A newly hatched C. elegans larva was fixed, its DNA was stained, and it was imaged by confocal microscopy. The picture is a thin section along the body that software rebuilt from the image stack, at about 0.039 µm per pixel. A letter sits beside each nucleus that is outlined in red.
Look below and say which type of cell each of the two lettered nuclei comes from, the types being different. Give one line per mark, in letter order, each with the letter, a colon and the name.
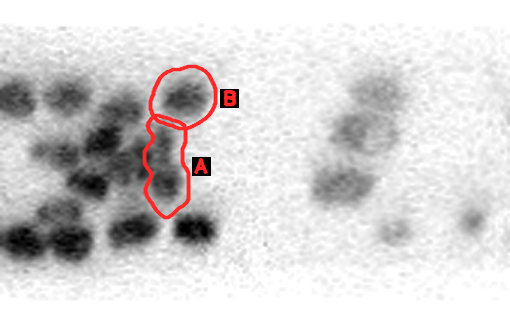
A: valve cell of the gut
B: glial cell (sheath or socket)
